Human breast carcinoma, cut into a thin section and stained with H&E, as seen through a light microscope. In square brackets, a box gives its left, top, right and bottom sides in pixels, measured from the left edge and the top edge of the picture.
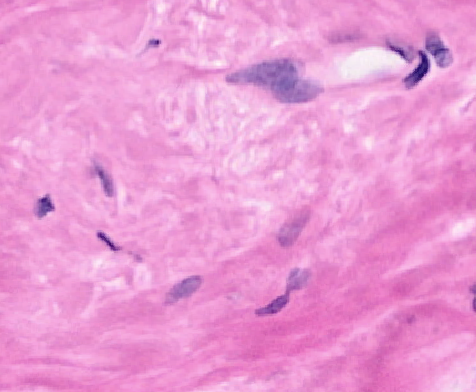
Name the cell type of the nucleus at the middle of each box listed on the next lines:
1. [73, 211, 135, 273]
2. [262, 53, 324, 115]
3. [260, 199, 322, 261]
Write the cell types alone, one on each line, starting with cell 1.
fibroblast
endothelial cell
fibroblast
